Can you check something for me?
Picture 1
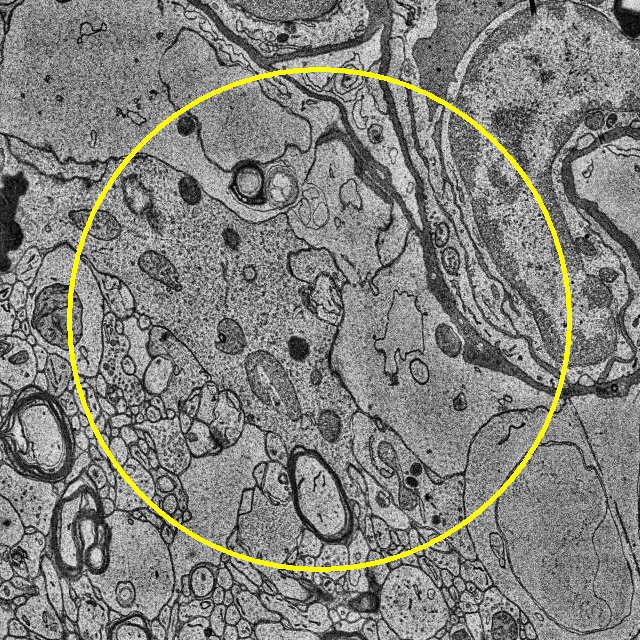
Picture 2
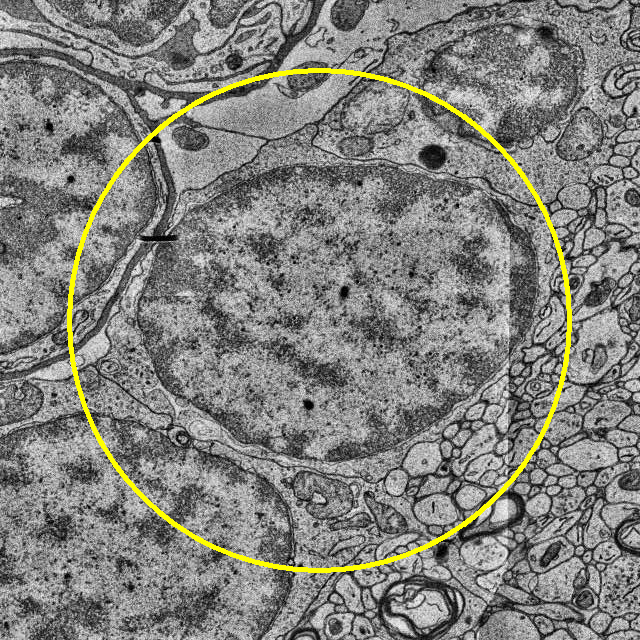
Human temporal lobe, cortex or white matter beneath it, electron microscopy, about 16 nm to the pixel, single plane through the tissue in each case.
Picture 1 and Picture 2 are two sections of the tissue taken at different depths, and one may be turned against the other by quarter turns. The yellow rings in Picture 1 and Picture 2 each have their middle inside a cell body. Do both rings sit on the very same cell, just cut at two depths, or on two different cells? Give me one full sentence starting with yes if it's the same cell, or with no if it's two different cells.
Yes, both rings identify a single, shared cell.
